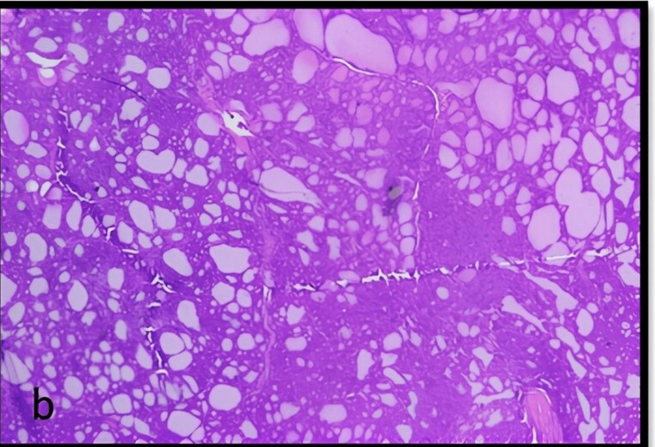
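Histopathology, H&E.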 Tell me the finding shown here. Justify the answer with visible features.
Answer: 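Many follicles of widely varying size fill the field. Follicles are filled with pale pink colloid. No papillary fronds are present.
Answer: follicular nodular thyroid disease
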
